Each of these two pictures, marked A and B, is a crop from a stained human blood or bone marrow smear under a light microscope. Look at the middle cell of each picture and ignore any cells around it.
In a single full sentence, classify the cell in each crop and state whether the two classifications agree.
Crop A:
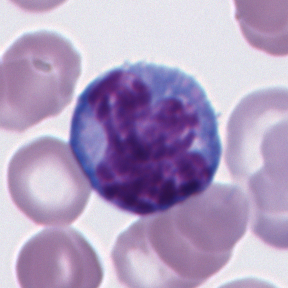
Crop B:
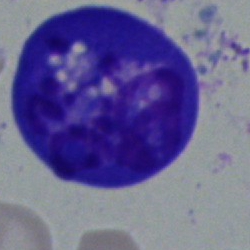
No, the correct reading is a monocyte in crop A and a blast in crop B.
